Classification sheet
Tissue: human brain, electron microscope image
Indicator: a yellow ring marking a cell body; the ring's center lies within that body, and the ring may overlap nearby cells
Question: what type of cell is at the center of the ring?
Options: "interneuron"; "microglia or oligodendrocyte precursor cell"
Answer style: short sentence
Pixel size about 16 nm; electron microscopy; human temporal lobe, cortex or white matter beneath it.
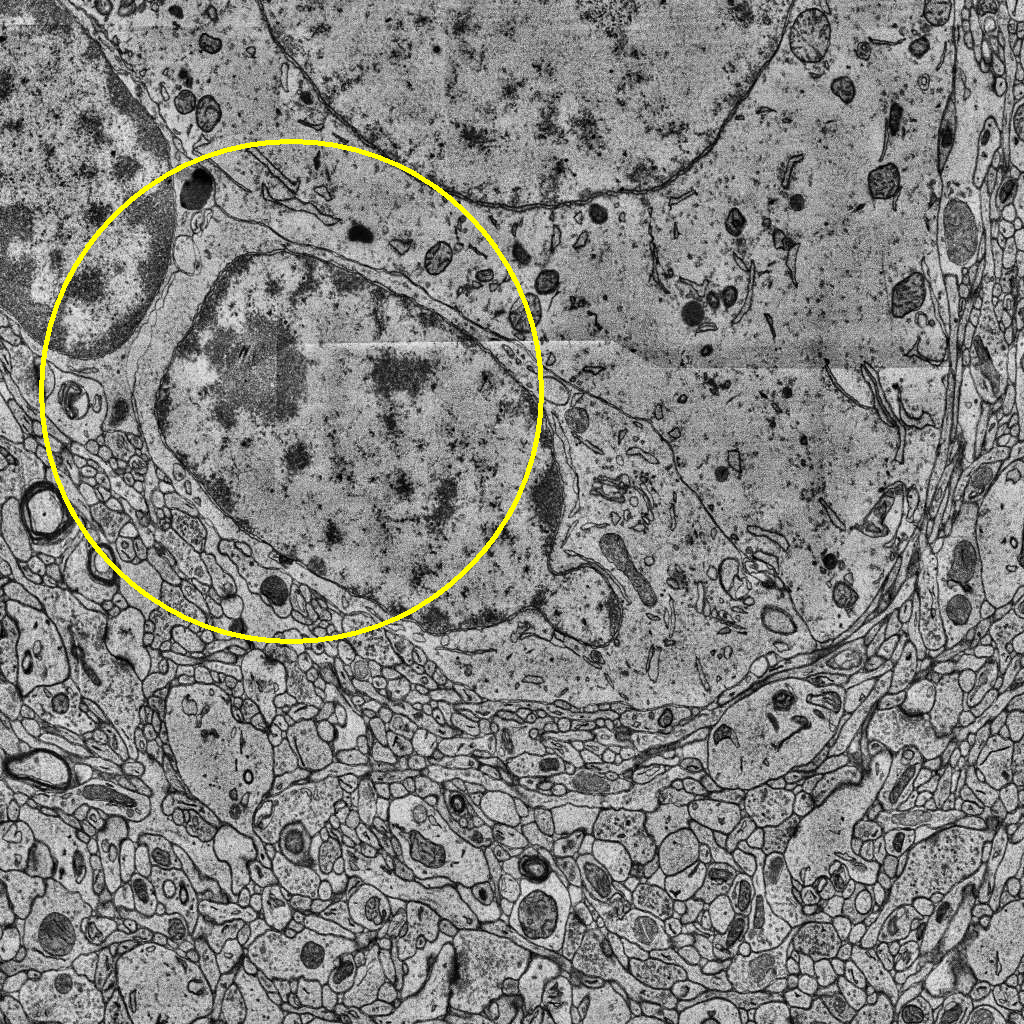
At the ring's center is a microglial cell or oligodendrocyte precursor cell.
